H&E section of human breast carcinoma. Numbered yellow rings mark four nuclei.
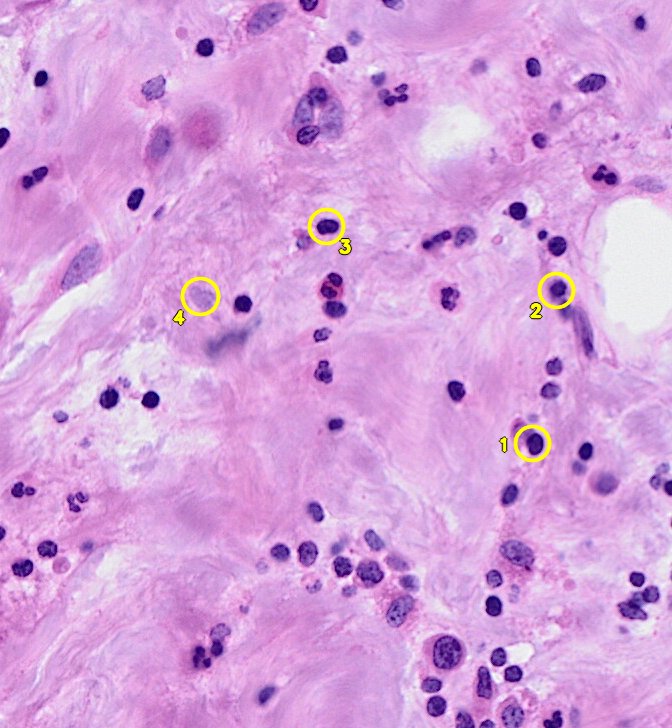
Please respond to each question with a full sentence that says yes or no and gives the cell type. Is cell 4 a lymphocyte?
No, at number 4 sits a fibroblast, not a lymphocyte.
